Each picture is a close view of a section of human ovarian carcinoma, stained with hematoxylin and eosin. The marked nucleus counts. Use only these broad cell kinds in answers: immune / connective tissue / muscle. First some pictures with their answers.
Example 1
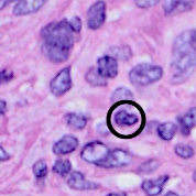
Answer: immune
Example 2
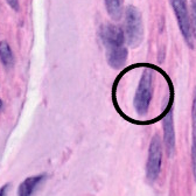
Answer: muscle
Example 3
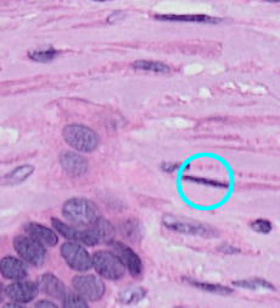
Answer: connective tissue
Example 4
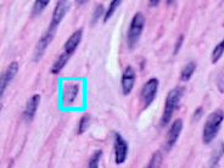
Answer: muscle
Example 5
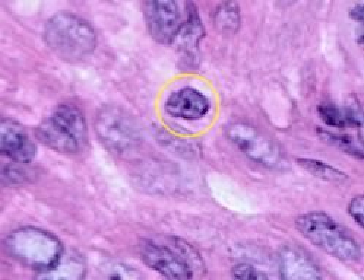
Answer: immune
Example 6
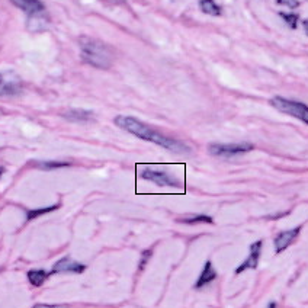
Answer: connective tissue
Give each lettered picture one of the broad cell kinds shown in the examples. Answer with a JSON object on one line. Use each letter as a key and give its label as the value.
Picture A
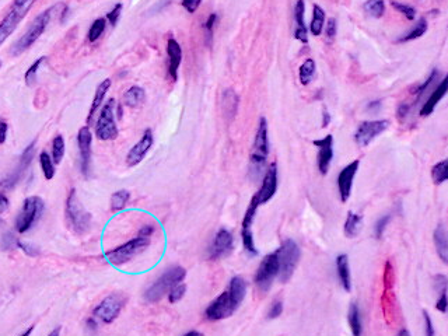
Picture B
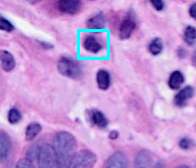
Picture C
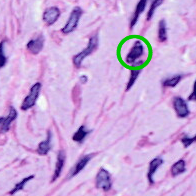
{"A": "muscle", "B": "immune", "C": "immune"}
